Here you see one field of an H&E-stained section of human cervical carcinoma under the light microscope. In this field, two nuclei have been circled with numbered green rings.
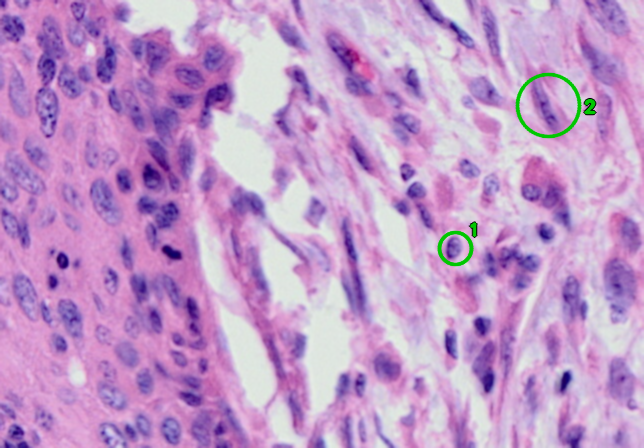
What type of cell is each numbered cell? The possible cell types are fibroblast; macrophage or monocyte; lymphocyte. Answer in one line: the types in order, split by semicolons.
lymphocyte; fibroblast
